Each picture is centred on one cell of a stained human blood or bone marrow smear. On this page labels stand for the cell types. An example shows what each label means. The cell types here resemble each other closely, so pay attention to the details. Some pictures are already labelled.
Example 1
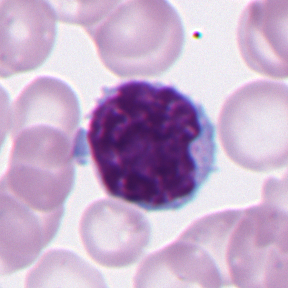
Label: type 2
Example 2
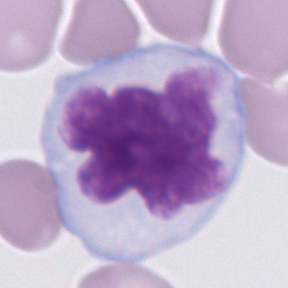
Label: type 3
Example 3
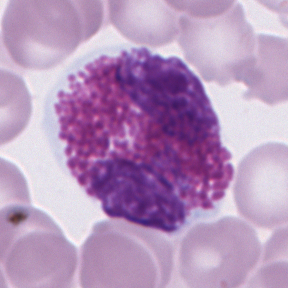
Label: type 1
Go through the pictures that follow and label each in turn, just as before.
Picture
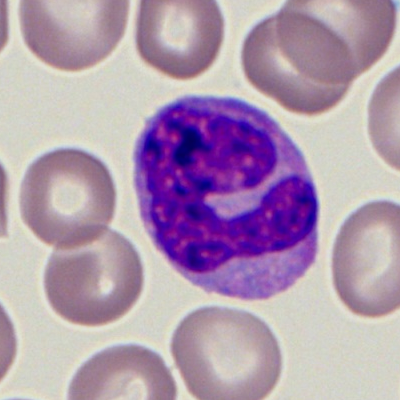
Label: type 3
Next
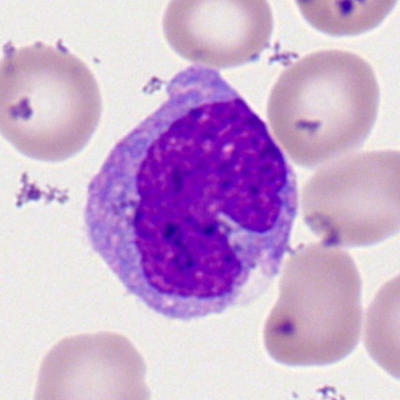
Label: type 3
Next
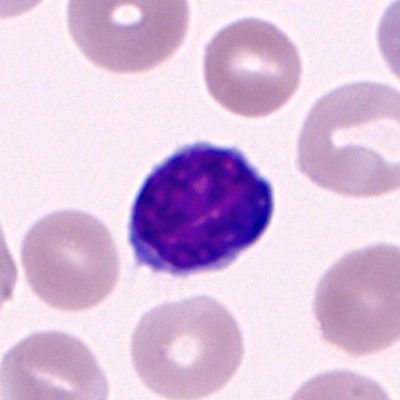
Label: type 2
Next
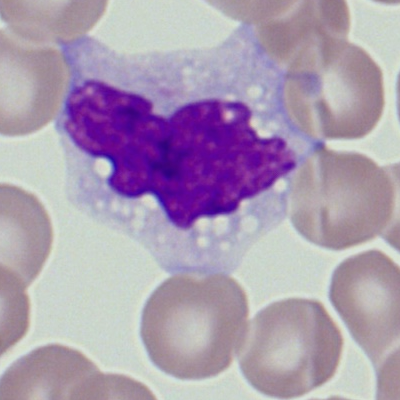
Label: type 3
